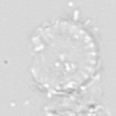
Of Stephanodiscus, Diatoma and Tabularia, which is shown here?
Stephanodiscus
